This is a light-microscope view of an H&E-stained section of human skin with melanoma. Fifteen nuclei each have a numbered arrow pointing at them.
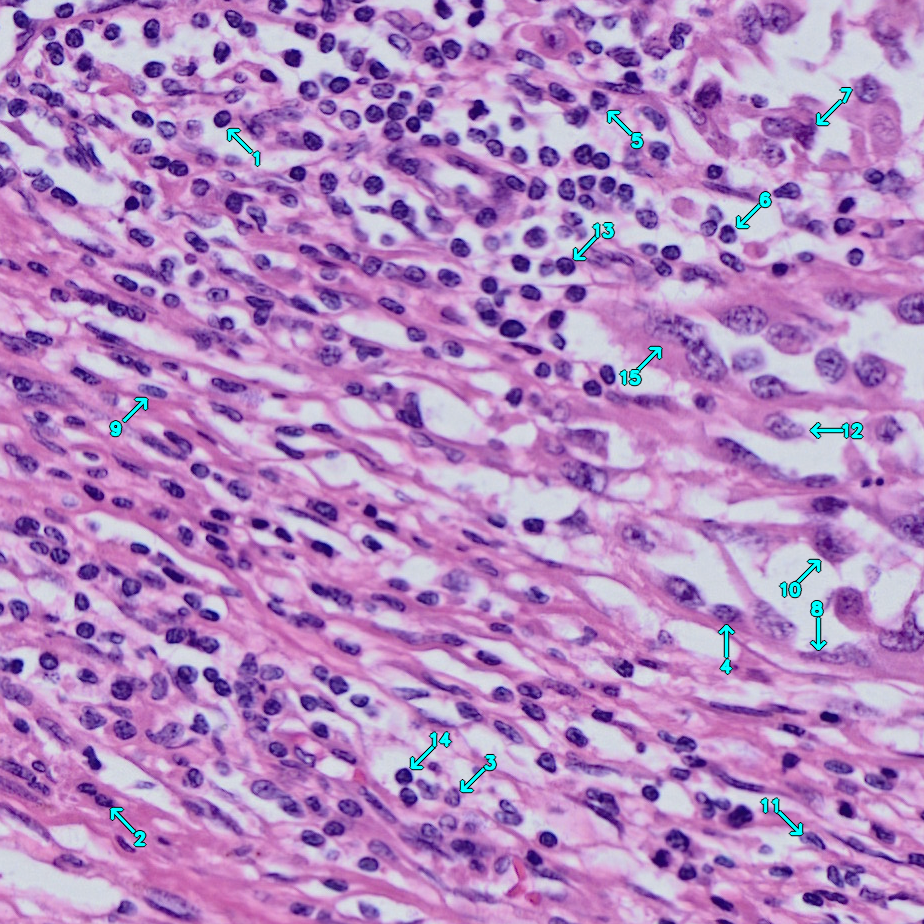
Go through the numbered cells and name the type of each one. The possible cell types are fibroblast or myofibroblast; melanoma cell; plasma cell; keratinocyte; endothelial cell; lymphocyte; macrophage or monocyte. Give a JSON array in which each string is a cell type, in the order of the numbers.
["lymphocyte", "plasma cell", "lymphocyte", "melanoma cell", "lymphocyte", "lymphocyte", "melanoma cell", "melanoma cell", "lymphocyte", "melanoma cell", "lymphocyte", "melanoma cell", "lymphocyte", "lymphocyte", "melanoma cell"]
